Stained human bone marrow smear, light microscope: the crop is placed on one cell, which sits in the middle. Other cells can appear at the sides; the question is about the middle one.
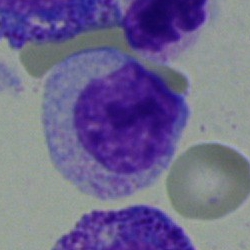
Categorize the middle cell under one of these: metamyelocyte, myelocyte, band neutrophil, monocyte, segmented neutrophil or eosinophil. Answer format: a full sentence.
In this crop, the cell at the very middle is a myelocyte.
